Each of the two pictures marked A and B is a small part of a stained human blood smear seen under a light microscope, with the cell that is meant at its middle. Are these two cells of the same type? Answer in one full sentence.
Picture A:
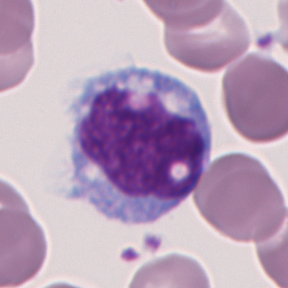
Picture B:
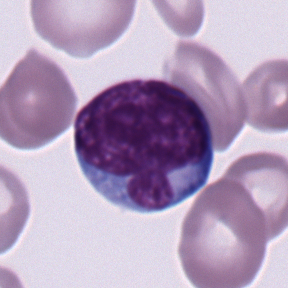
No; the cell in picture A is a monocyte, while the one in picture B is a myeloblast.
